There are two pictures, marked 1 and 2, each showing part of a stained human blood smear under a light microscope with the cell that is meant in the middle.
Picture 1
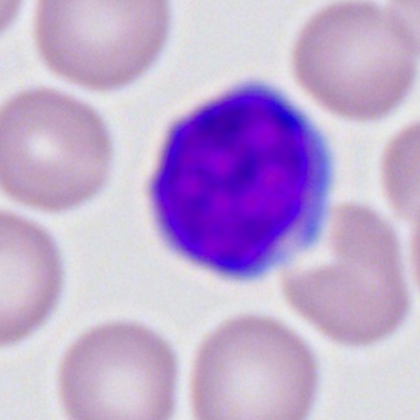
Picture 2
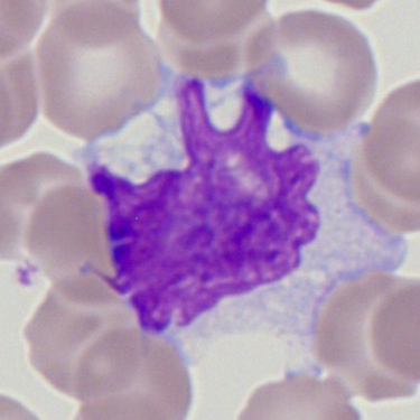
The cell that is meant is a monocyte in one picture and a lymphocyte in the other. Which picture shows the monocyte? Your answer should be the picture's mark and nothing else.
2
